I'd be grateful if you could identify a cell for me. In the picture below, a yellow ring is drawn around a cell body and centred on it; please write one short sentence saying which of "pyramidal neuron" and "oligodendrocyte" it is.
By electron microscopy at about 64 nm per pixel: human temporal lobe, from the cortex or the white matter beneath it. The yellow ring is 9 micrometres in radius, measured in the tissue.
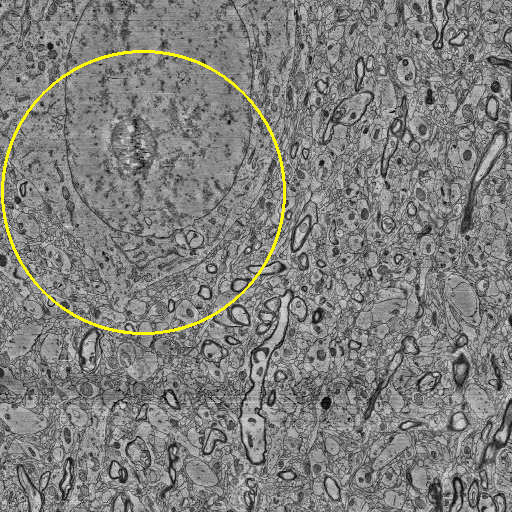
The cell under the ring's centre is a pyramidal neuron.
